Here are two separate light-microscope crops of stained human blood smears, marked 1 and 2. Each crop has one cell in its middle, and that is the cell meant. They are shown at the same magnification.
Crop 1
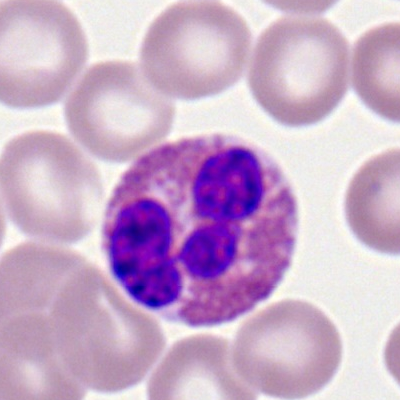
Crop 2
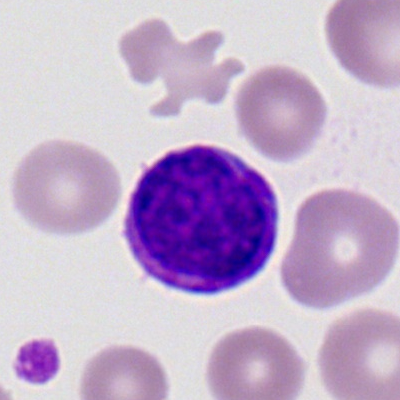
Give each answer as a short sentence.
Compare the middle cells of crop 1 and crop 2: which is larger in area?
Crop 1 holds the larger cell; it covers about 1.5 times the area of the cell in crop 2.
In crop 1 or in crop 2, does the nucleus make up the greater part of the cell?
It is the cell in crop 2 that is filled more by its nucleus.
